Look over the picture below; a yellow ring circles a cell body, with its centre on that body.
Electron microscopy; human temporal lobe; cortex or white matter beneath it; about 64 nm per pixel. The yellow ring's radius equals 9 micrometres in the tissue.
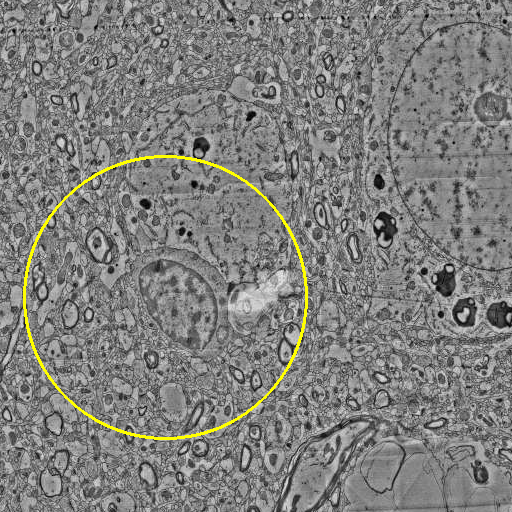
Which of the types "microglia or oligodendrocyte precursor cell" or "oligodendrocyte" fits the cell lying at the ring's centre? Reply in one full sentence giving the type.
The picture shows an oligodendrocyte at the centre of the yellow ring.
